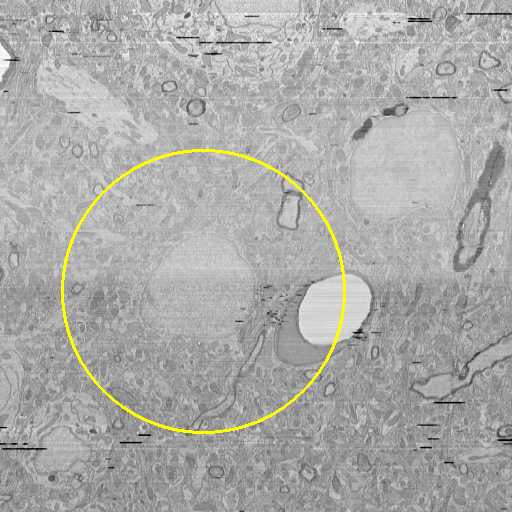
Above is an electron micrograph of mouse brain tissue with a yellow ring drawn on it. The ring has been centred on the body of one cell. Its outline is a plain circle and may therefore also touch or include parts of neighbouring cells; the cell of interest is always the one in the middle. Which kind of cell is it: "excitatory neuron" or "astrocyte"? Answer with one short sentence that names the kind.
The ring's central cell body is that of an astrocyte.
